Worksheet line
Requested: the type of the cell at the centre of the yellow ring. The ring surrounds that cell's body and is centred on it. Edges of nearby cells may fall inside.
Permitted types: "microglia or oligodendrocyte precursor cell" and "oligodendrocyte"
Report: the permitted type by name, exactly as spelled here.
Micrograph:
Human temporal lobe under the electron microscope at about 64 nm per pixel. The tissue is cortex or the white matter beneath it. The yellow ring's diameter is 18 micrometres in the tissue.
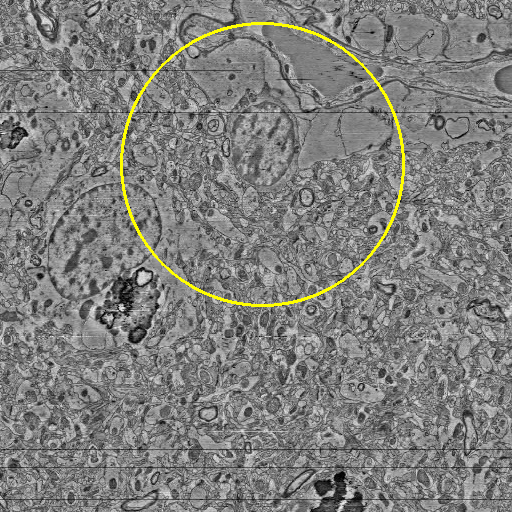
oligodendrocyte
